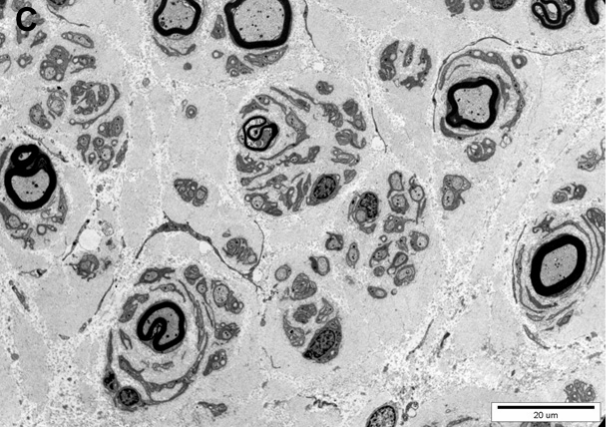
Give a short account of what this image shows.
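An electron micrograph of peripheral nerve in cross-section shows myelinated fibers as black rings of compact myelin around grey axons, set in pale endoneurium. Many fibers are encircled by several concentric layers of thin, flattened cell processes, forming onion bulbs around the central fiber. Some myelin sheaths are irregular in outline, folded or with loops turning into or out of the sheath. Between them lie groups of small unmyelinated axons enclosed in supporting cell cytoplasm, and thin dark lines of cell processes wind through the surrounding tissue.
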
